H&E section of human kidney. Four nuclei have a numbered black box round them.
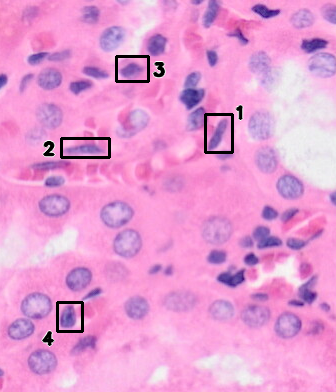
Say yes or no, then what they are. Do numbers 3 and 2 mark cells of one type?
No, cell 3 is a loop of Henle or distal tubule cell and cell 2 is an endothelial cell.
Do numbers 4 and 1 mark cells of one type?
Yes, both are endothelial cells.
